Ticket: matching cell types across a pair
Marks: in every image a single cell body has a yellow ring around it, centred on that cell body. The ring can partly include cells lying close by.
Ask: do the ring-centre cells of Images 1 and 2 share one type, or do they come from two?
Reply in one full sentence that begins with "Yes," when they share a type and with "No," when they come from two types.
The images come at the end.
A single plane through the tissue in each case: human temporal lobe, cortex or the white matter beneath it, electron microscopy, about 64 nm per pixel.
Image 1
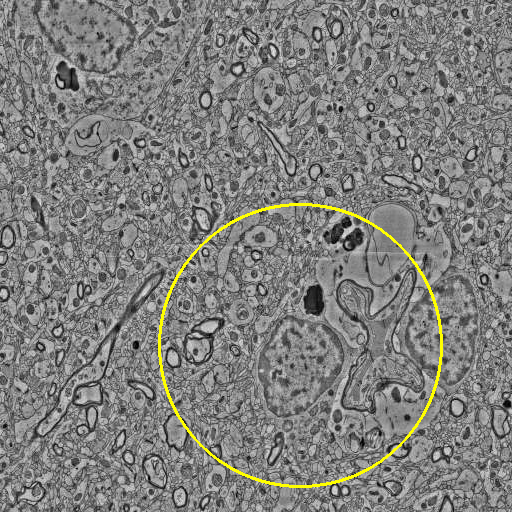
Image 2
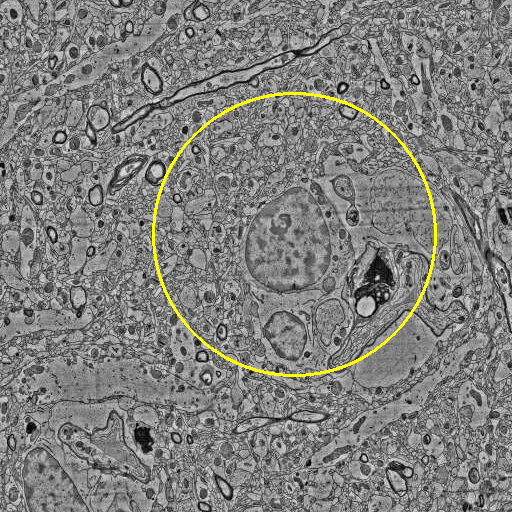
Yes, the cells in the centres of the rings in Image 1 and Image 2 share one type.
